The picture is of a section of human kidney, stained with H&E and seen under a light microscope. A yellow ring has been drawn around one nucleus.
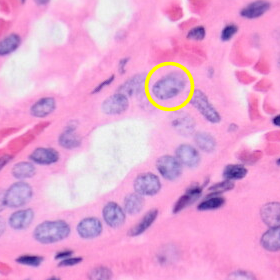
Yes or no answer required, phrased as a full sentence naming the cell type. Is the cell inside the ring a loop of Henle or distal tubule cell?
No, that's not it; the cell inside the ring is a collecting duct cell rather than a loop of Henle or distal tubule cell.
